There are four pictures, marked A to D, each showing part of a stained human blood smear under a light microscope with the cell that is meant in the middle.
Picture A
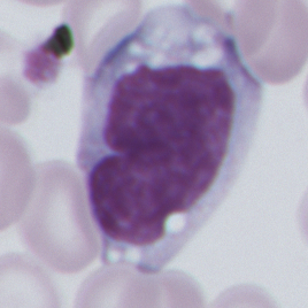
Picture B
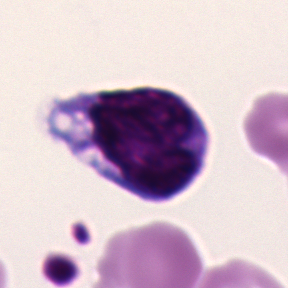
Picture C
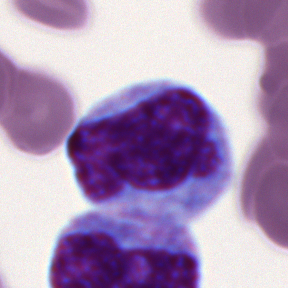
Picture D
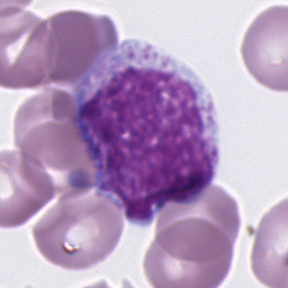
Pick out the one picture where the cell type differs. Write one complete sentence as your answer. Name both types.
Picture D differs, because its cell is a myelocyte and the rest are monocytes.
